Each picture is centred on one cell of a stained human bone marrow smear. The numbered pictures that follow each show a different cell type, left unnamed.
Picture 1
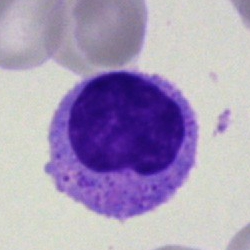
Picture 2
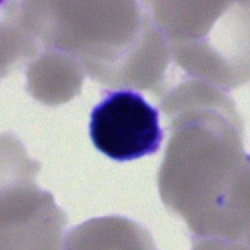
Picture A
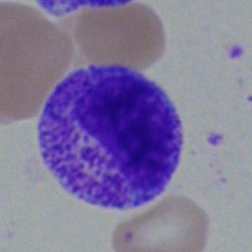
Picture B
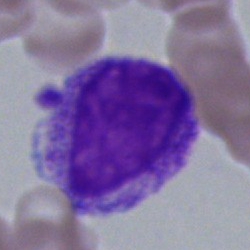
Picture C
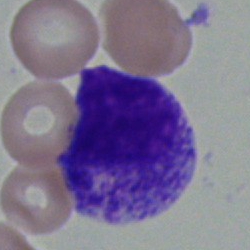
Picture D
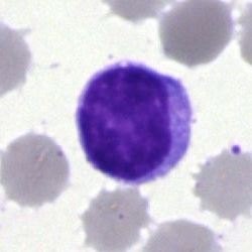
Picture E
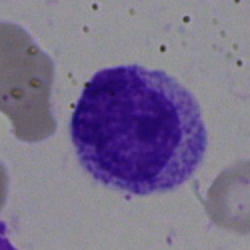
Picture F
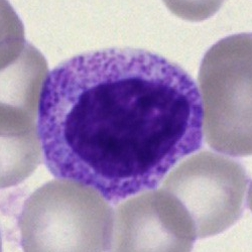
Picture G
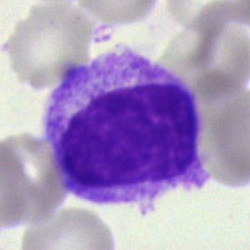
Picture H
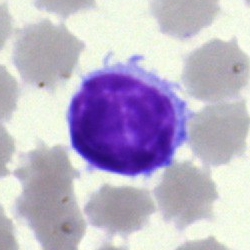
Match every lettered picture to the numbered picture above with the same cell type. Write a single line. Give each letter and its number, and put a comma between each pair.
A 1, B 1, C 1, D 2, E 1, F 1, G 1, H 2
